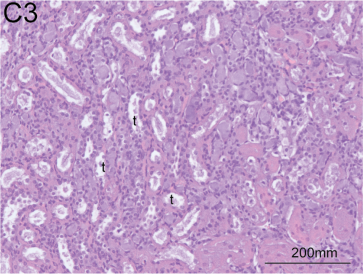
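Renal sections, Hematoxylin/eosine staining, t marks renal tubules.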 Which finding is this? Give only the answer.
Tubular atrophy with lumen dilatation.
